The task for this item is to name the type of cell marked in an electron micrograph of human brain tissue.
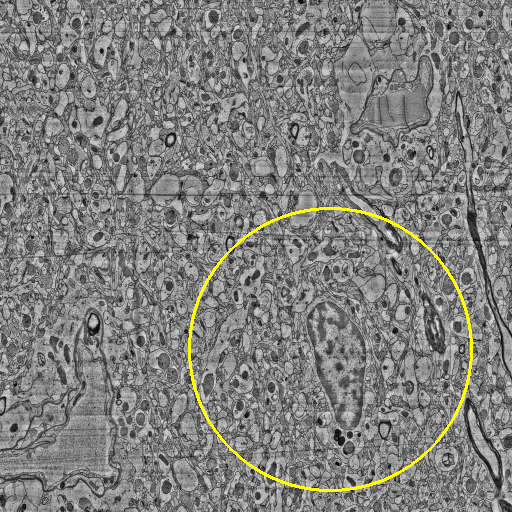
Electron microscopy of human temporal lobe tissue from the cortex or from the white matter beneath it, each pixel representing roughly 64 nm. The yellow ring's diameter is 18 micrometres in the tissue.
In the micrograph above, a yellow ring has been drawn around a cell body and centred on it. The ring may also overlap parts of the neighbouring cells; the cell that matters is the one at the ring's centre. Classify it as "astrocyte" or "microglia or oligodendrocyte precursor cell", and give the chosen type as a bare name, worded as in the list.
microglia or oligodendrocyte precursor cell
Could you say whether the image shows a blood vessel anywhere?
Yes, the image shows a blood vessel.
